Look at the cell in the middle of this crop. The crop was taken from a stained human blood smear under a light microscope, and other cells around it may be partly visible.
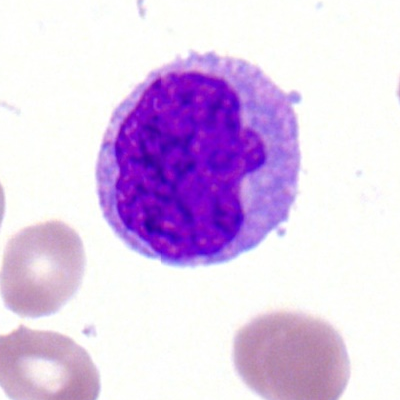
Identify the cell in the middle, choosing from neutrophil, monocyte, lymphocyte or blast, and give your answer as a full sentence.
Regarding the central cell, it is a monocyte.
